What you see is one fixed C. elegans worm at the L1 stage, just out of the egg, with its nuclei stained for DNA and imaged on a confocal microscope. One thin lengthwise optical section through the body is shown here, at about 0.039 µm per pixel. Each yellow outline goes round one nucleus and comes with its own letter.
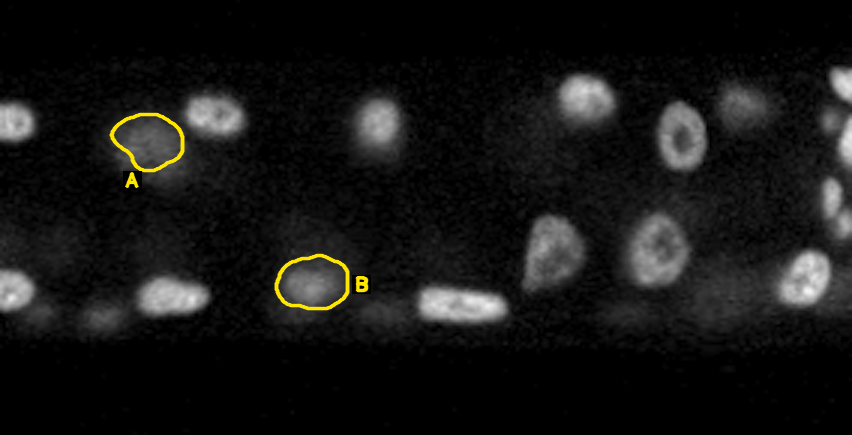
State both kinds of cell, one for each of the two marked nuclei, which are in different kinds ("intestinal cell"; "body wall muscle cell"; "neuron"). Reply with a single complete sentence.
A is in a neuron and B is in a body wall muscle cell.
